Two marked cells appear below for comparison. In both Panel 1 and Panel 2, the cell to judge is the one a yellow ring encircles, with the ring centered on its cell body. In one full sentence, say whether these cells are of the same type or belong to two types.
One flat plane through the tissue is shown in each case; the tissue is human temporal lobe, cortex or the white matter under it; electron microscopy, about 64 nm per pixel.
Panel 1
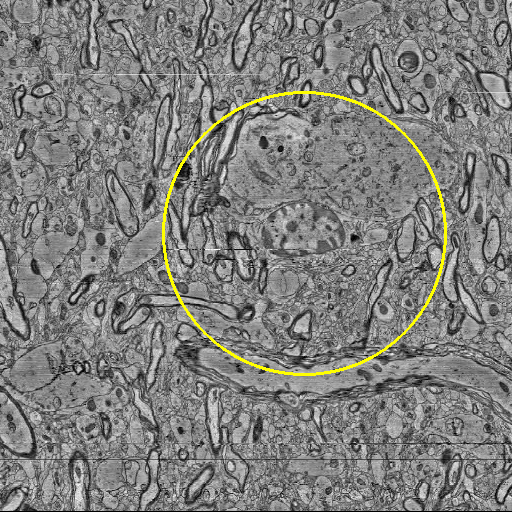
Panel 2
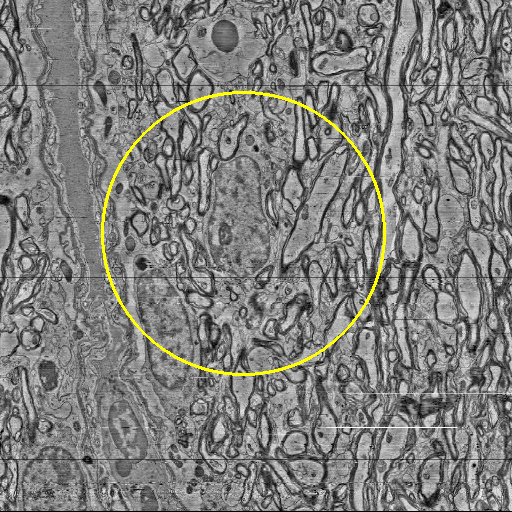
The cell centered in the Panel 1 ring and the one in Panel 2 belong to two types.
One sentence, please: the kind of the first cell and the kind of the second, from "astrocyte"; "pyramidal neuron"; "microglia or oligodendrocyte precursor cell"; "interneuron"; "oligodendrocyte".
The ring in the first picture surrounds a microglial cell or oligodendrocyte precursor cell, and the ring in the second surrounds an oligodendrocyte.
